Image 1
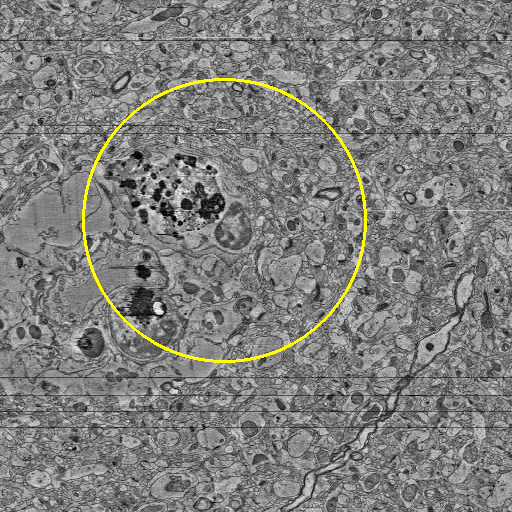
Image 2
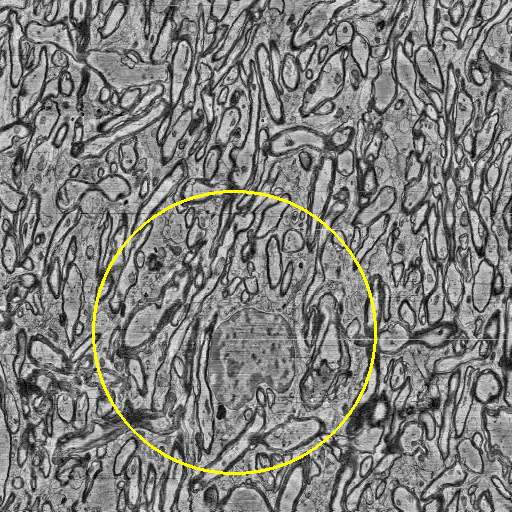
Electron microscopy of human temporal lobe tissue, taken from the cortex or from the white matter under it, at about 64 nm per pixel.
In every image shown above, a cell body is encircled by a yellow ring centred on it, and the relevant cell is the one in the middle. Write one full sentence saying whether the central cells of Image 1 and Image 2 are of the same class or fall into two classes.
The cell at the ring's centre in Image 1 and its counterpart in Image 2 are of the same class.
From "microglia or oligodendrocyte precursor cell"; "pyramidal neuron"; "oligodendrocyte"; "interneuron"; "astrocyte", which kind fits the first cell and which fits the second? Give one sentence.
Each of the two cells is a microglial cell or oligodendrocyte precursor cell.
